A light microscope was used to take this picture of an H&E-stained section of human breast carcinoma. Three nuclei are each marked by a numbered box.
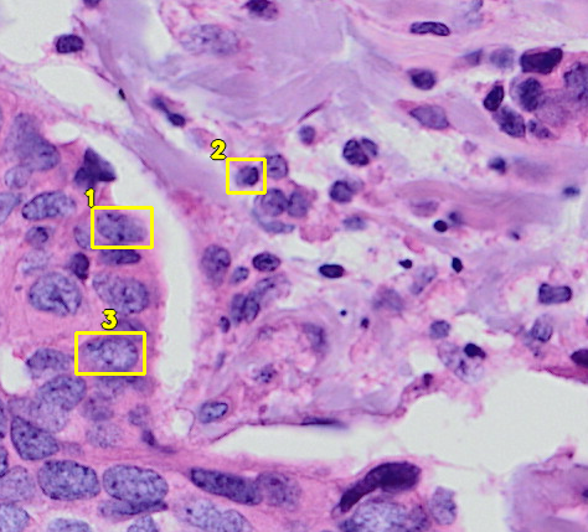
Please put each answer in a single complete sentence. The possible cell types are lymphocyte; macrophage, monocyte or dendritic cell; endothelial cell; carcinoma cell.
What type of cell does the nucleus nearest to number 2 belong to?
The cell nearest to number 2 is a macrophage, monocyte or dendritic cell.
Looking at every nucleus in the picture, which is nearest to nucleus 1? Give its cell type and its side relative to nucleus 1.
It is a carcinoma cell, whose nucleus lies below nucleus 1.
